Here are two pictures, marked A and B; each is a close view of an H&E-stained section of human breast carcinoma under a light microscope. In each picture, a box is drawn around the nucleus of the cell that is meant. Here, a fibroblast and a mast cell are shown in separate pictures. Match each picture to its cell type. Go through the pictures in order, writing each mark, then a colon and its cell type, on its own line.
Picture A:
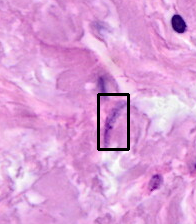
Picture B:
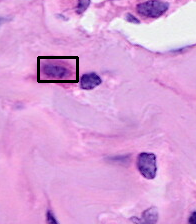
A: fibroblast
B: mast cell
